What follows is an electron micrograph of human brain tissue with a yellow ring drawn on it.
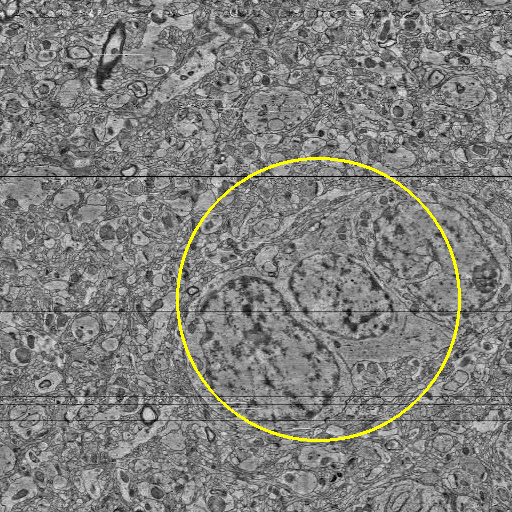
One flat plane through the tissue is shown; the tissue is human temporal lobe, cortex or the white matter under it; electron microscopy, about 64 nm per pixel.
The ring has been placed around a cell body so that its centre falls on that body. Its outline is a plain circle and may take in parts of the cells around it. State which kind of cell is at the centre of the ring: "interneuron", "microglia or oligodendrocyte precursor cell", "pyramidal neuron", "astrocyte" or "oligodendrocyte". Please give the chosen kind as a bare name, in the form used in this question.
microglia or oligodendrocyte precursor cell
